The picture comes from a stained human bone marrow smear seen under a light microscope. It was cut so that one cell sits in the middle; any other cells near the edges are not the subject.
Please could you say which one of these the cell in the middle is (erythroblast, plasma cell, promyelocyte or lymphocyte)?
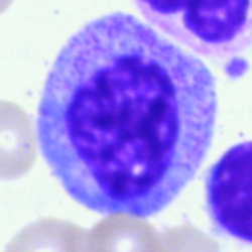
promyelocyte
